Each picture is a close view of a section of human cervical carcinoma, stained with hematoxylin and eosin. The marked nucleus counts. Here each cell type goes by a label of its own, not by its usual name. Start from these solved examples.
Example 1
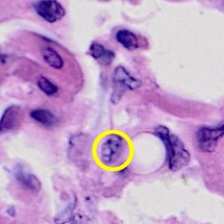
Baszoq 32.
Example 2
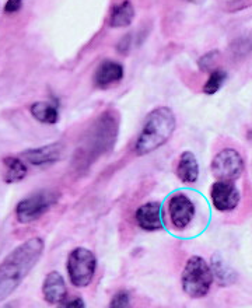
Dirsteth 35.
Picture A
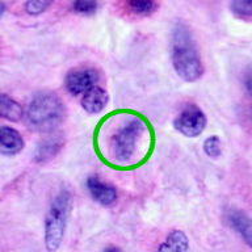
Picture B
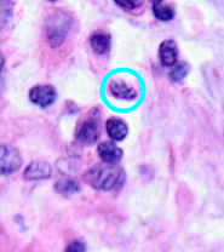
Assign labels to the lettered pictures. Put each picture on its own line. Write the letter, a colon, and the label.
A: Baszoq 32.
B: Dirsteth 35.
